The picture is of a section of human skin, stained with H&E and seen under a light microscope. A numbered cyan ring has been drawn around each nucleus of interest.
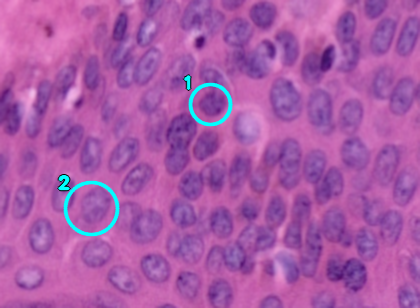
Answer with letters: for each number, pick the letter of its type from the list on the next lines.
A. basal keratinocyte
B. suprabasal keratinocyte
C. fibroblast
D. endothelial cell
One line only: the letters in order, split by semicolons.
A; B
